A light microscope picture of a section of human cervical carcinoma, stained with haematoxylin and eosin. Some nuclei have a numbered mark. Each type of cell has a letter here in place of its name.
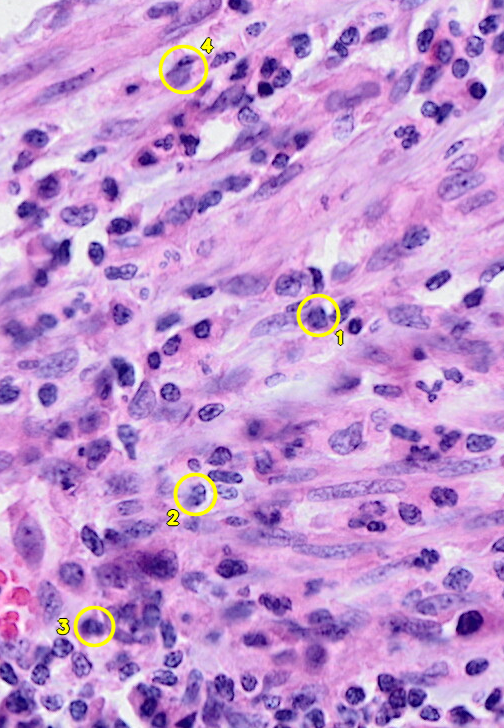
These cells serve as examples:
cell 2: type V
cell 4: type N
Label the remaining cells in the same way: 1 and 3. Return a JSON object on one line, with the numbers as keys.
{"1": "type V", "3": "type V"}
